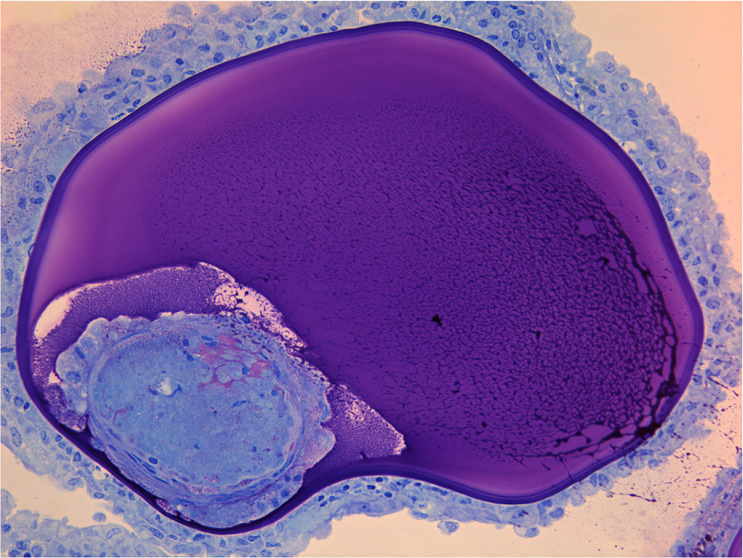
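Inside the capsule, near its lower left edge, lies a rounded cluster of cells stained pale blue, with a few pinkish patches and a paler central region. A space partly separates this cluster from the surrounding capsule material. Around the outside of the capsule runs a continuous band of small cells with bluish oval nuclei and pale cytoplasm, several cells thick, which forms a cellular layer enclosing the capsule.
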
